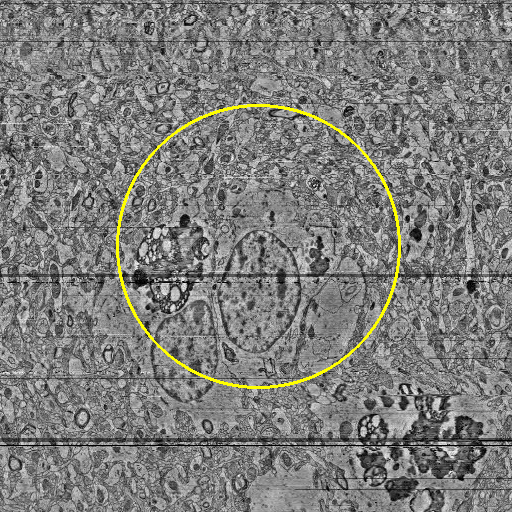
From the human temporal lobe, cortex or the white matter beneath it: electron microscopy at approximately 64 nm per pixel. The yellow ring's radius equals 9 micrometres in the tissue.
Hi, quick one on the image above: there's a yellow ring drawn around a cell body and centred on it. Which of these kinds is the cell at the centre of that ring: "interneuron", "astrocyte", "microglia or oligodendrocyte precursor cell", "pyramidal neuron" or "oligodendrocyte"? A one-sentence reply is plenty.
The cell at the centre of the ring is an astrocyte.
